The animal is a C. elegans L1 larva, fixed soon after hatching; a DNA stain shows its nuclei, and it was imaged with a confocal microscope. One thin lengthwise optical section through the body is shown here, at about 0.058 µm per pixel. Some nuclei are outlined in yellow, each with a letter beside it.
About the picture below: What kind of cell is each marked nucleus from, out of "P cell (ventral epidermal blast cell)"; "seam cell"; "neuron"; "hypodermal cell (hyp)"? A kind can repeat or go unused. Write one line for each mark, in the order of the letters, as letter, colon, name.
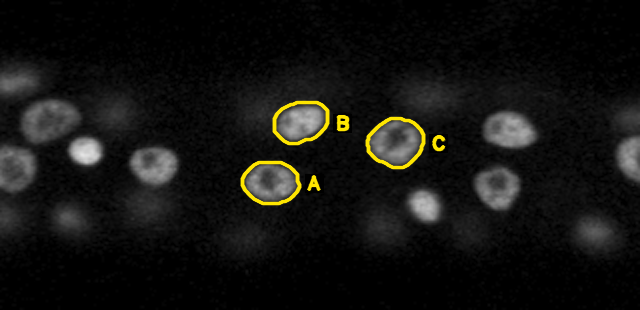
A: hypodermal cell (hyp)
B: P cell (ventral epidermal blast cell)
C: seam cell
